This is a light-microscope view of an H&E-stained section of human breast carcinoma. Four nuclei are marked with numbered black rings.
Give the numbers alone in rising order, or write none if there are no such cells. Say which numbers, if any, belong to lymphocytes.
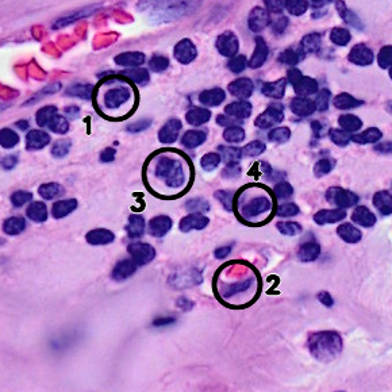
1, 3, 4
